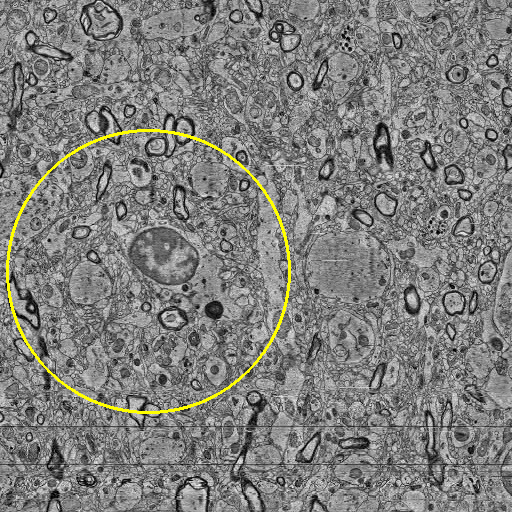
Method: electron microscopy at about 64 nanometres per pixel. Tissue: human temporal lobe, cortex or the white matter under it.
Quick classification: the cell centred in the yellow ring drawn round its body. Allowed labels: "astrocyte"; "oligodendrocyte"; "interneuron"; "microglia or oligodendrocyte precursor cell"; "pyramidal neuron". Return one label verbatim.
microglia or oligodendrocyte precursor cell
